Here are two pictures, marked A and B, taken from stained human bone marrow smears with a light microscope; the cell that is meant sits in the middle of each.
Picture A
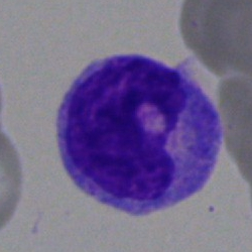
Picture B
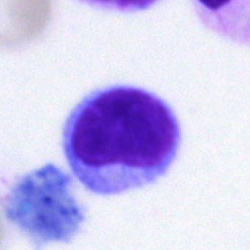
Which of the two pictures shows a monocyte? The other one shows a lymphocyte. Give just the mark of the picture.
A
